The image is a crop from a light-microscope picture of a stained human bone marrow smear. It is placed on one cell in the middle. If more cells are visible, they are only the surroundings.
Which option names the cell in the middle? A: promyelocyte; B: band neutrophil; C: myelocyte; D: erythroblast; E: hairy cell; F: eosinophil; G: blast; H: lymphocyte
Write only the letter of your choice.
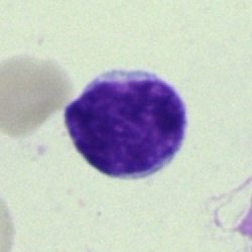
H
